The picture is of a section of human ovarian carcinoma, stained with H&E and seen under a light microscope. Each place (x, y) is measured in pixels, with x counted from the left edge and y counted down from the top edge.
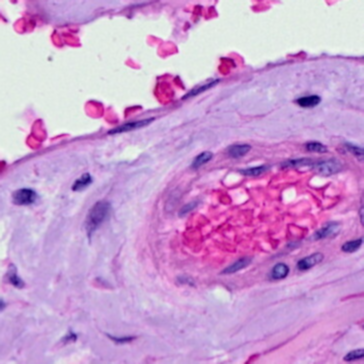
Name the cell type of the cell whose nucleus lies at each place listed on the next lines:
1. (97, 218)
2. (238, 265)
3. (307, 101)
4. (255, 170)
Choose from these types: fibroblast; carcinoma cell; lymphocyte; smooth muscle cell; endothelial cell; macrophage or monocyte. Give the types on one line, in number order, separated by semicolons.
fibroblast; endothelial cell; lymphocyte; endothelial cell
